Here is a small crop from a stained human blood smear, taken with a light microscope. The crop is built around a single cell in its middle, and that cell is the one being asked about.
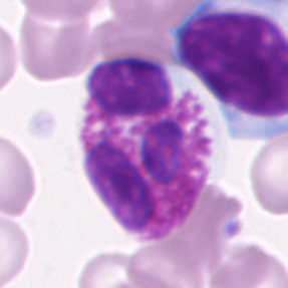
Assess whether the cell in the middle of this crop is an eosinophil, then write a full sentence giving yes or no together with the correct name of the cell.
Yes, an eosinophil is the cell positioned in the middle of the field.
